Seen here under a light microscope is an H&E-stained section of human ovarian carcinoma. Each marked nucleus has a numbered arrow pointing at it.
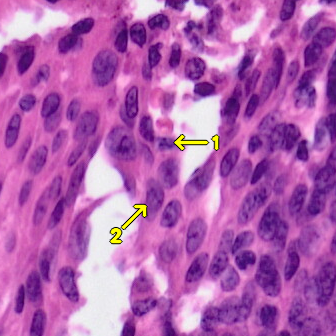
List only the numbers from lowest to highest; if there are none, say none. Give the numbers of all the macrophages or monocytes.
1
